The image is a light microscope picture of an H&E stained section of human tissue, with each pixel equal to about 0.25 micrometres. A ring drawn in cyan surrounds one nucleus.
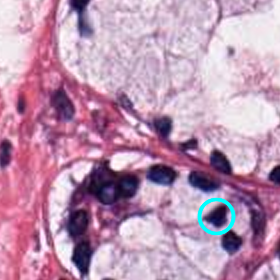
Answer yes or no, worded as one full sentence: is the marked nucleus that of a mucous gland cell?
Yes, the marked nucleus is housed in a mucous gland cell.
